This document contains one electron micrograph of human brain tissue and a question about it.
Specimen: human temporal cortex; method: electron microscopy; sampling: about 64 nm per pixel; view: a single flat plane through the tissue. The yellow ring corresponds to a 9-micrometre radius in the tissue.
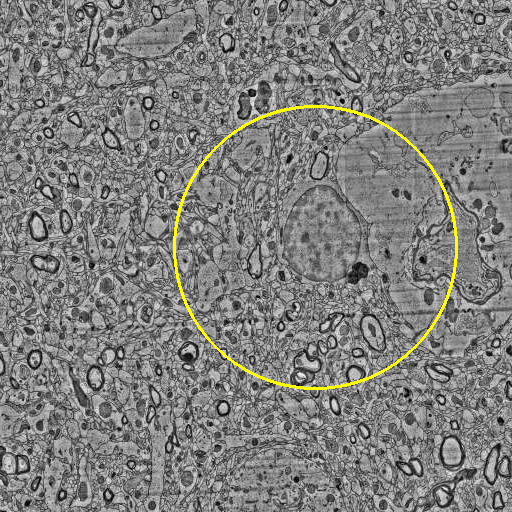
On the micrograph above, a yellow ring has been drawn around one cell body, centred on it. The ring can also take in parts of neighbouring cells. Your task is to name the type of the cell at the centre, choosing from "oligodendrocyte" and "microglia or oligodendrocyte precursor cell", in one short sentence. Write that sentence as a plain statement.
Here the ring is centred on an oligodendrocyte.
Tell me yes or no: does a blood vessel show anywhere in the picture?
Yes, a vessel shows somewhere in the image.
